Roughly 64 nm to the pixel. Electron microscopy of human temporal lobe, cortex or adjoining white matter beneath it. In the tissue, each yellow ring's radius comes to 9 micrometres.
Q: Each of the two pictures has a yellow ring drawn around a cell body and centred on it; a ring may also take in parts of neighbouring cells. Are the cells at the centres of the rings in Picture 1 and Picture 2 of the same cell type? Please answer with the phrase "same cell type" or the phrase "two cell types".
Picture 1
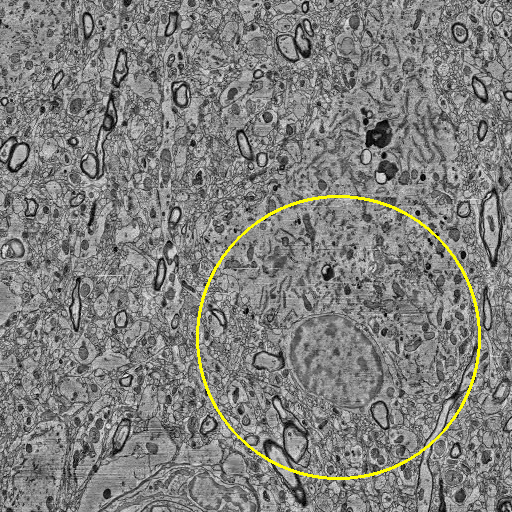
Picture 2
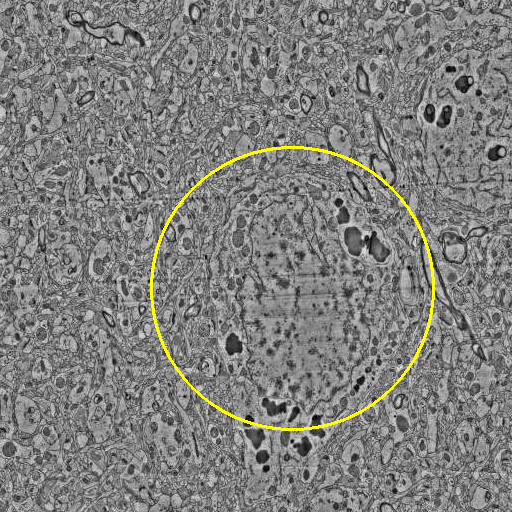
two cell types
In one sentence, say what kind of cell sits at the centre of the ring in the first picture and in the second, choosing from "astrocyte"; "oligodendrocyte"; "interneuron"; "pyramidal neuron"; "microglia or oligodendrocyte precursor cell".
The first picture's ringed cell is an oligodendrocyte, while the second picture's is an interneuron.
